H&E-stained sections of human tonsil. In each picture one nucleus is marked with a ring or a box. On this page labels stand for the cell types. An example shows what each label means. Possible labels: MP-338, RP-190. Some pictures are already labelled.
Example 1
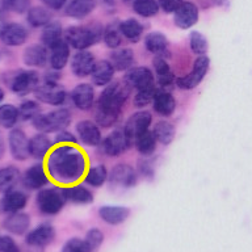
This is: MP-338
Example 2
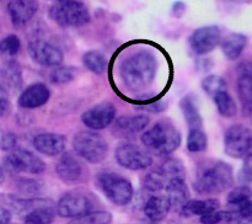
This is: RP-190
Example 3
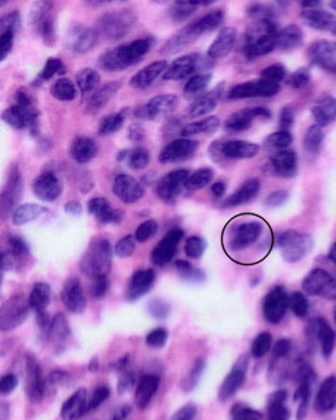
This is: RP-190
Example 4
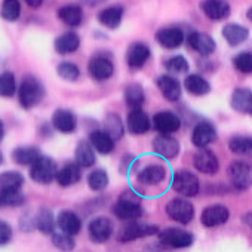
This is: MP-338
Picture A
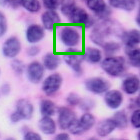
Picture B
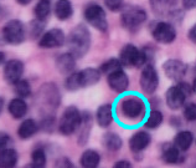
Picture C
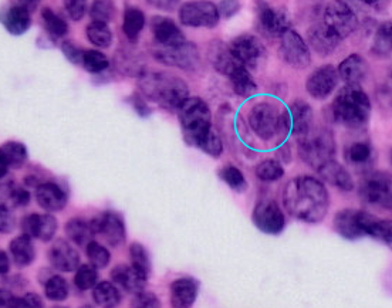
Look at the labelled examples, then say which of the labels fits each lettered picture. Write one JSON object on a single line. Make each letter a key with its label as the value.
{"A": "MP-338", "B": "MP-338", "C": "RP-190"}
